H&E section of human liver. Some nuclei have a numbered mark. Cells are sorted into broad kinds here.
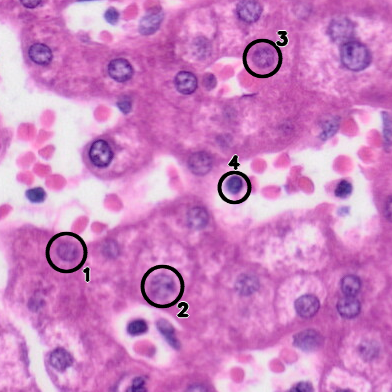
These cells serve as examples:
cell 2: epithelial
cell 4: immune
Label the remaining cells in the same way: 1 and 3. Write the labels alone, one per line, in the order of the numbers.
epithelial
epithelial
